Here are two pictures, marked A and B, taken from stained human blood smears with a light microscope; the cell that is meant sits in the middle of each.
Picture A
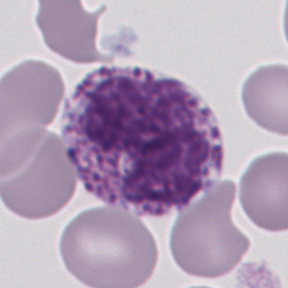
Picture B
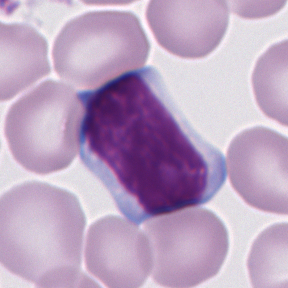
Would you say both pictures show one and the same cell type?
no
